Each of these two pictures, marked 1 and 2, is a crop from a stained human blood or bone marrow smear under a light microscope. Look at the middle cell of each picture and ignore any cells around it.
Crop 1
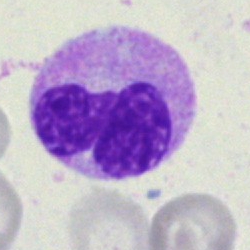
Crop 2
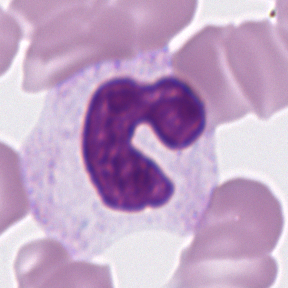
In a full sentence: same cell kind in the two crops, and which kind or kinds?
Yes, the cells in both crops are band neutrophils.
